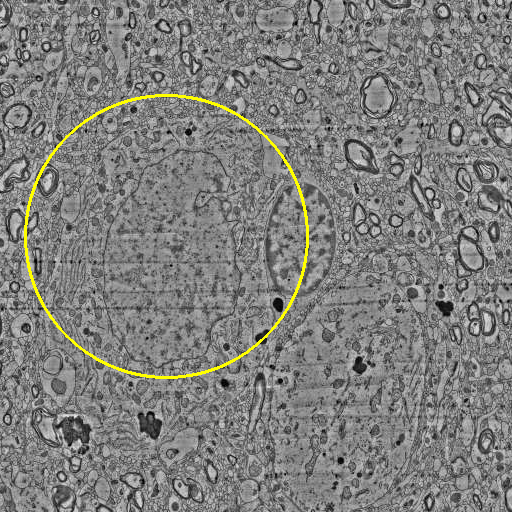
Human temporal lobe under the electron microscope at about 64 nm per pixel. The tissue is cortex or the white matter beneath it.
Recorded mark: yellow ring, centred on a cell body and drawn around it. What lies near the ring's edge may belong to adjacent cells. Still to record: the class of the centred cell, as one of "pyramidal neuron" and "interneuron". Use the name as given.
interneuron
